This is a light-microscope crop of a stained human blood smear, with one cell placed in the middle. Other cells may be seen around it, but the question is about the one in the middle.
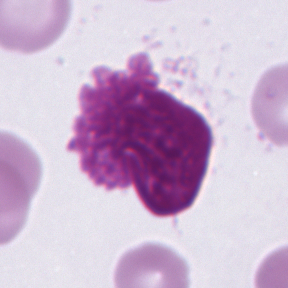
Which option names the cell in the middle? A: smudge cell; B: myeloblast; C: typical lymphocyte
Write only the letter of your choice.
A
